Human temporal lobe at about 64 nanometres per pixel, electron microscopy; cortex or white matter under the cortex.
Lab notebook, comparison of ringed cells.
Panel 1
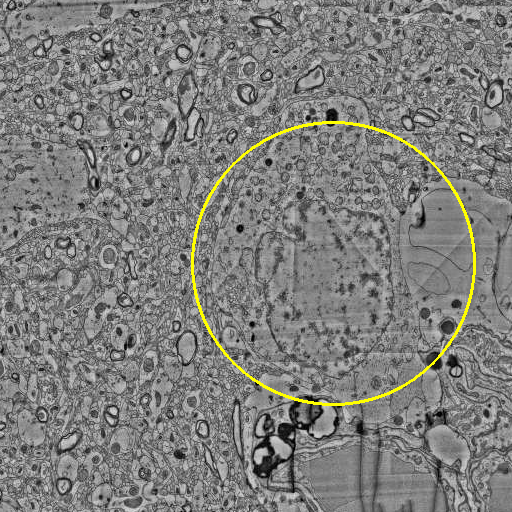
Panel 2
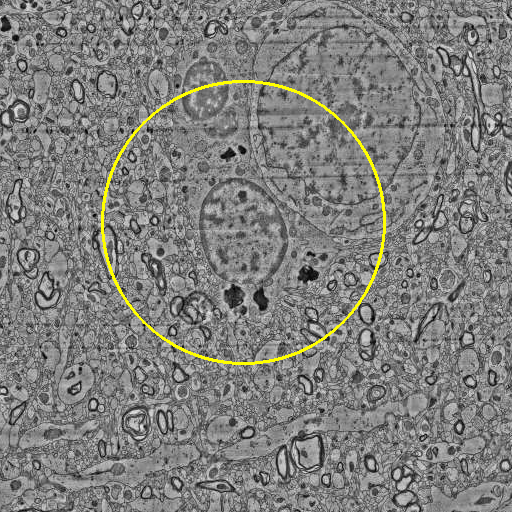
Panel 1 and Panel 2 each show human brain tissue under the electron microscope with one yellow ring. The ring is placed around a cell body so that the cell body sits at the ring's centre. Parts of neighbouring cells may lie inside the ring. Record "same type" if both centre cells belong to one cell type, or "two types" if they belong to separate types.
two types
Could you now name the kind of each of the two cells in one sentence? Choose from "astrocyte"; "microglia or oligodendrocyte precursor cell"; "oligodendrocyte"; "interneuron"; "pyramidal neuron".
The first ring encloses an interneuron; the second ring encloses an oligodendrocyte.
